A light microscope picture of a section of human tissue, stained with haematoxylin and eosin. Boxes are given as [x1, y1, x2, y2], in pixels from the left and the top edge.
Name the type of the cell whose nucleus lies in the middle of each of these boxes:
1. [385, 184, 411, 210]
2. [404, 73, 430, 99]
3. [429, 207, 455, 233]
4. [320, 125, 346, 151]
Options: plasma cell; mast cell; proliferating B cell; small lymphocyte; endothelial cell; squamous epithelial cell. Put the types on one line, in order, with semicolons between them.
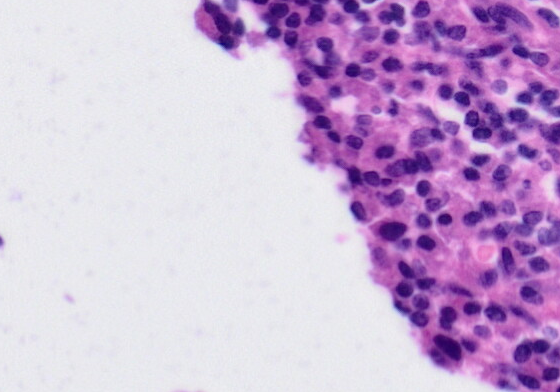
squamous epithelial cell; plasma cell; plasma cell; plasma cell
